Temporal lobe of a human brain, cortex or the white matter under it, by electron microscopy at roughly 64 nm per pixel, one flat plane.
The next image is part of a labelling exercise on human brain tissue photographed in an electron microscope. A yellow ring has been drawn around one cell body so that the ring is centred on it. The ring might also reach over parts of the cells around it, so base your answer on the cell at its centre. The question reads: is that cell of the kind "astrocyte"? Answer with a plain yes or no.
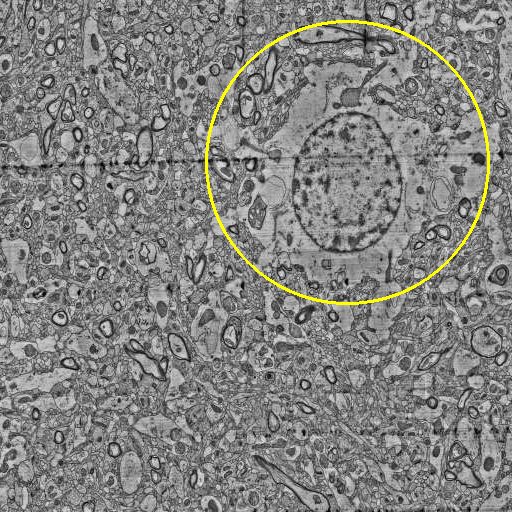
yes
